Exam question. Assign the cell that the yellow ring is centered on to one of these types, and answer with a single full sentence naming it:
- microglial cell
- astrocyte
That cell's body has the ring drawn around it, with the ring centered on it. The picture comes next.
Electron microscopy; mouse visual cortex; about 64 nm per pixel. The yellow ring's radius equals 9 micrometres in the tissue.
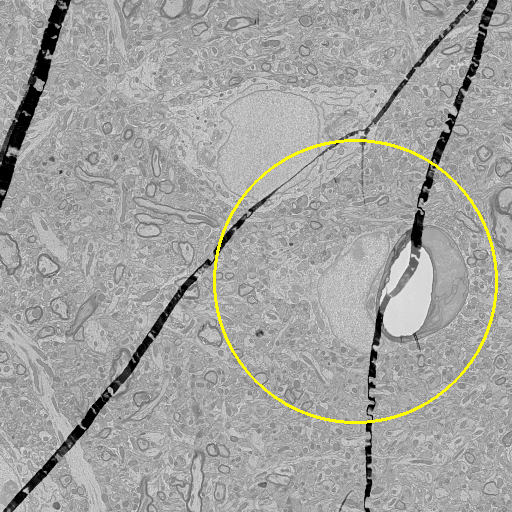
In the micrograph, the cell the yellow ring is centered on is an astrocyte.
